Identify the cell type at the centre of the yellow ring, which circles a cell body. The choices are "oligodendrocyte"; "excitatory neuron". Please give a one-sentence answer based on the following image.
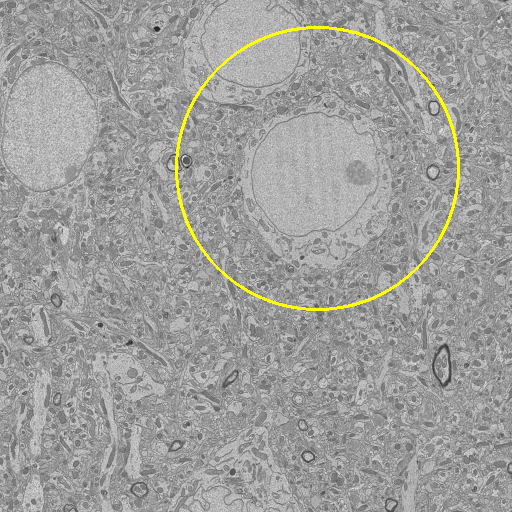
The cell marked by the ring is an excitatory neuron.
